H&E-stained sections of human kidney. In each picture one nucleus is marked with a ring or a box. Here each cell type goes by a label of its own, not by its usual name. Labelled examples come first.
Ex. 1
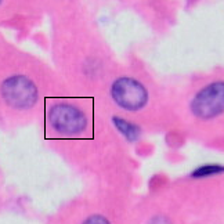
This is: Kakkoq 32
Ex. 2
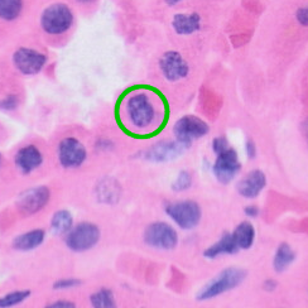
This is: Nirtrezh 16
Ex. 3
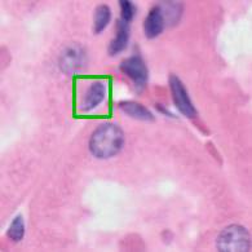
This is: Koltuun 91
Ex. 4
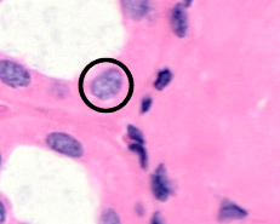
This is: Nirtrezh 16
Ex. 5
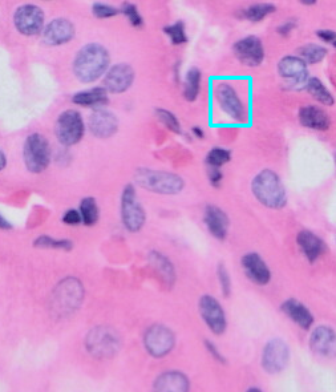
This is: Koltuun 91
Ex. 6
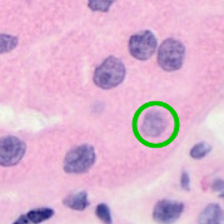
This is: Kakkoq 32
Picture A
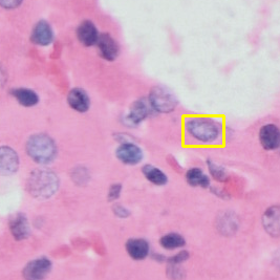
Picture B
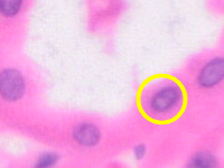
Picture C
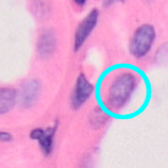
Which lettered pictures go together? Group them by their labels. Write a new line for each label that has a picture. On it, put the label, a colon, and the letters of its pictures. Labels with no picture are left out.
Kakkoq 32: B
Nirtrezh 16: A, C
